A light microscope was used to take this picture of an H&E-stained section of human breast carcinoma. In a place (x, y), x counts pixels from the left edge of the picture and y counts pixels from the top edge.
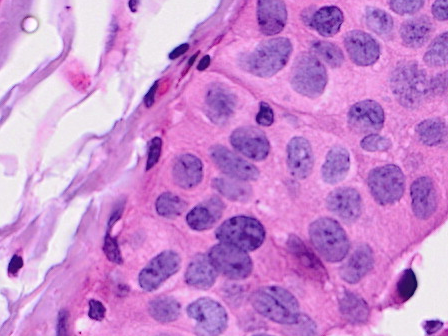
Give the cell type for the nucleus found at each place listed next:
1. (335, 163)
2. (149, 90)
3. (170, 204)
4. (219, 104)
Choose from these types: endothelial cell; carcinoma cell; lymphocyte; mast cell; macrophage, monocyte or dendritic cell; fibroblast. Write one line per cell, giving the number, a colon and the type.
1: carcinoma cell
2: endothelial cell
3: carcinoma cell
4: carcinoma cell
